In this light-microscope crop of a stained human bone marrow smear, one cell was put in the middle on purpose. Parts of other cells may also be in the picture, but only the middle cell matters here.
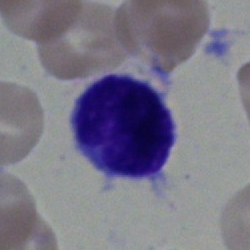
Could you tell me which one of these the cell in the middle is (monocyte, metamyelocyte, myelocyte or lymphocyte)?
lymphocyte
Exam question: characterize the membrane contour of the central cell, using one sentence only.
A ragged or projecting edge replaces the smooth outline in this cell.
